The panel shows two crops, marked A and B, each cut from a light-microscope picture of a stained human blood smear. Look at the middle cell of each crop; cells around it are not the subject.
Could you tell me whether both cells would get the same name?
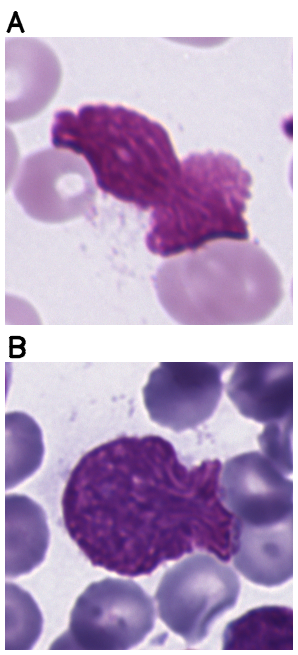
yes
